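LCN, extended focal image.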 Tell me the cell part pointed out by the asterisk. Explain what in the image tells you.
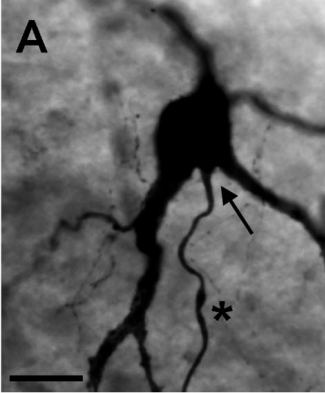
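The process is traceable back to the cell body.
Conclusion: Main axon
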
